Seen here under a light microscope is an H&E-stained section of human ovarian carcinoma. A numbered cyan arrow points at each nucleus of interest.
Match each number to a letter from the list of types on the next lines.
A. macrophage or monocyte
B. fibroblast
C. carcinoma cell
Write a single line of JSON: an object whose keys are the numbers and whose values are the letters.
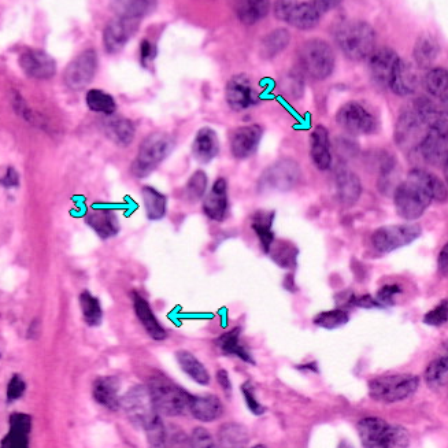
{"1": "A", "2": "C", "3": "C"}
